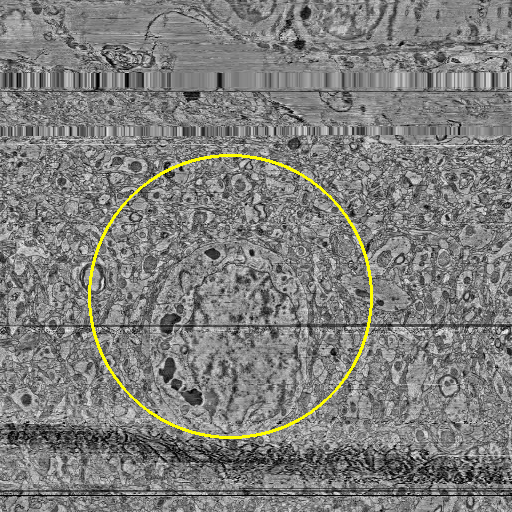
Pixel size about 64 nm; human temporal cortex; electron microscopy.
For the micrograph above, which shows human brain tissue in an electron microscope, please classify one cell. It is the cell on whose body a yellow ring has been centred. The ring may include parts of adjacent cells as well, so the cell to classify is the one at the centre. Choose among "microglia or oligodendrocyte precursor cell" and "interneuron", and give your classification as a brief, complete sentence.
I classify this cell as an interneuron.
